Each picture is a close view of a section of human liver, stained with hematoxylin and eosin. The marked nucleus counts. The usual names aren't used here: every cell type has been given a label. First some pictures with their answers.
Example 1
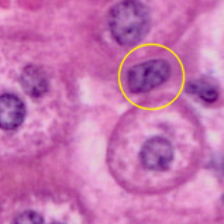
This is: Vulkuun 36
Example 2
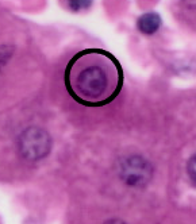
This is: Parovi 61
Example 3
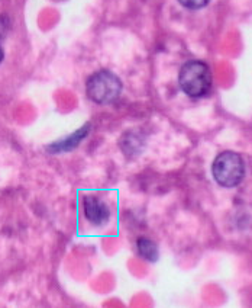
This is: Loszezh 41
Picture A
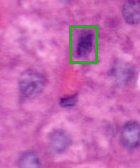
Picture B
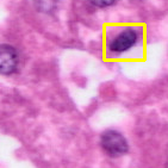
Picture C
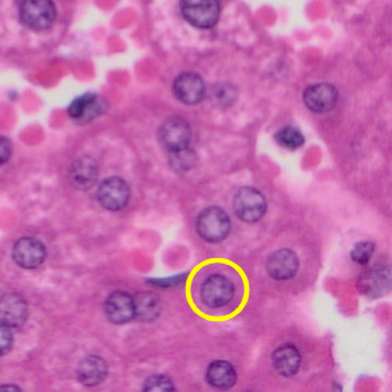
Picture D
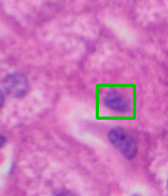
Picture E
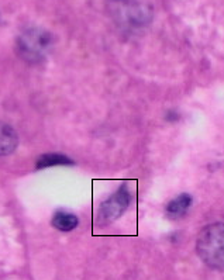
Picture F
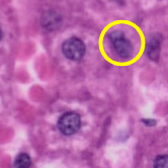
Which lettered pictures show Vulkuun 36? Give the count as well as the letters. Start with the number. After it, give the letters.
Count: 1 (E)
